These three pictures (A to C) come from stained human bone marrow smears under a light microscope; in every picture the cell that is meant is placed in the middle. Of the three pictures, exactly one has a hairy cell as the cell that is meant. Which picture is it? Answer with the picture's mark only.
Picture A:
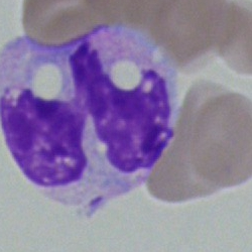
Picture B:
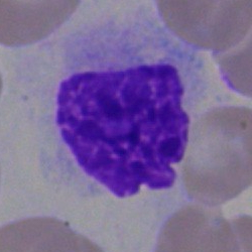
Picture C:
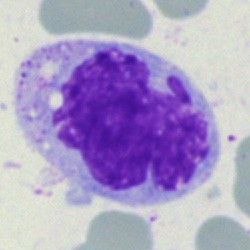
B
